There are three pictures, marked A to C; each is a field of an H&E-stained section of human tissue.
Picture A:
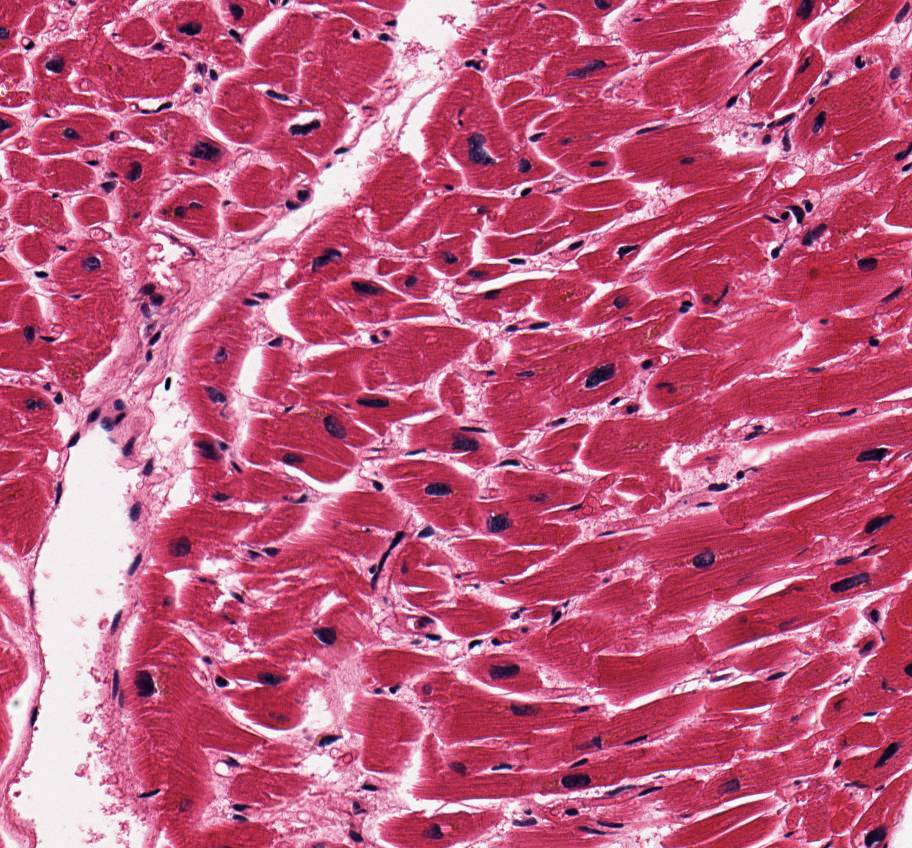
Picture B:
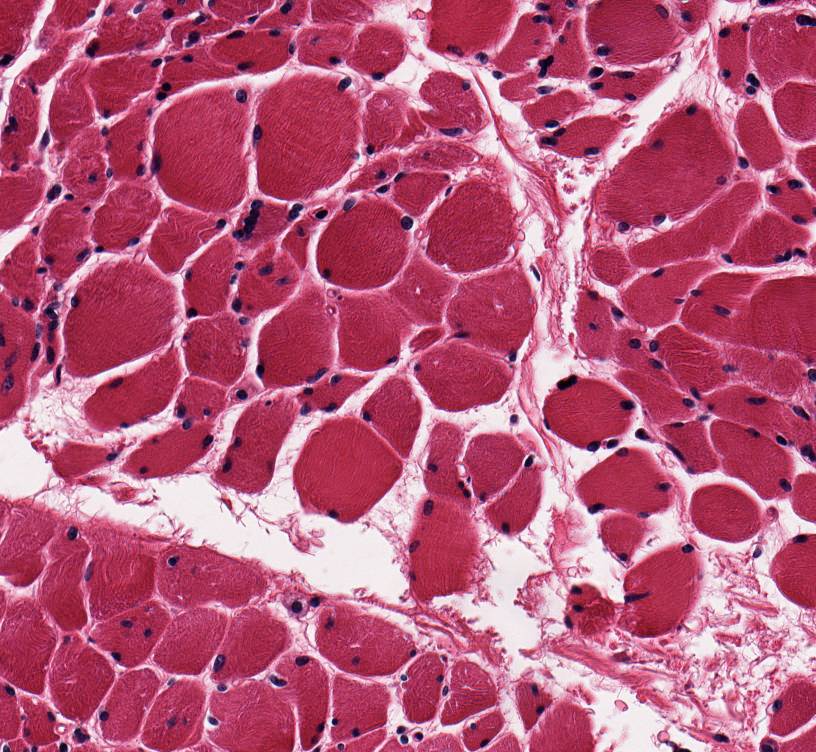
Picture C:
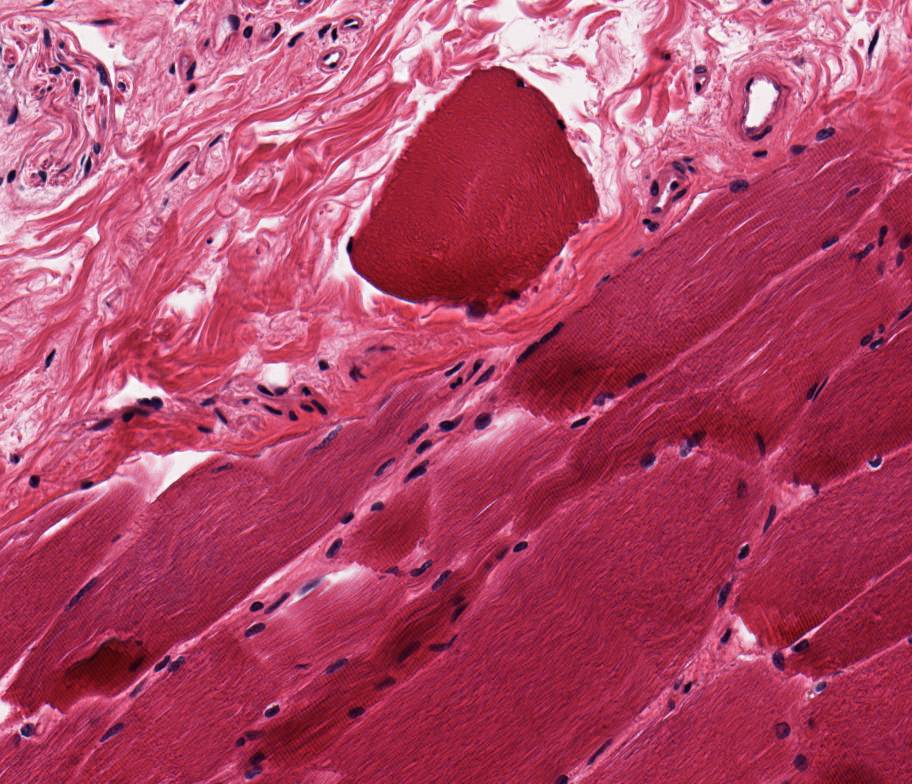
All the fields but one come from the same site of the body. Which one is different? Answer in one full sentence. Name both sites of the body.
Unlike the rest, which come from skeletal muscle, picture A comes from the left ventricle of the heart.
